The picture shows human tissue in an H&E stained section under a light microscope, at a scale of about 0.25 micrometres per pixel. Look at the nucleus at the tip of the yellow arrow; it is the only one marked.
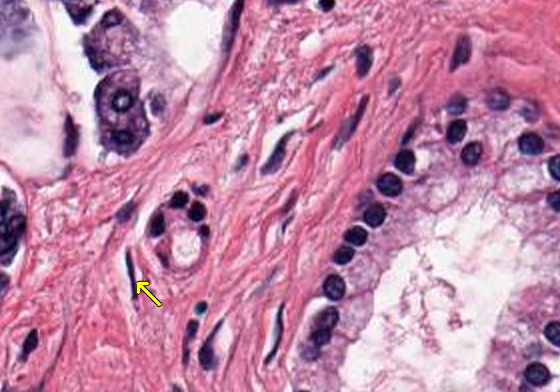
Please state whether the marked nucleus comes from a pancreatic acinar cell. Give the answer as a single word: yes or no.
no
